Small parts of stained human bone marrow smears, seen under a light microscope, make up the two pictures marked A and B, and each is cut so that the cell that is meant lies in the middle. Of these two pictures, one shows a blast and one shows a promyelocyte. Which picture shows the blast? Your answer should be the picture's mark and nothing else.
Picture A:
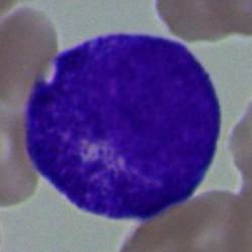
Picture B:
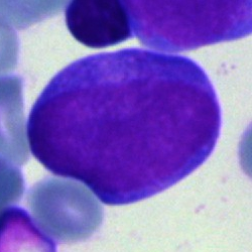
B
